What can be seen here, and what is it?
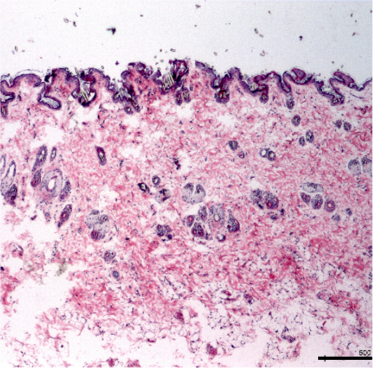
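This is a section of skin seen at low power, with a thin epidermis on top and a broad dermis below. The epidermis is a narrow purple band with an undulating, folded outline. Beneath it the dermis consists of pale pink, loosely arranged collagen fibres with open spaces between them. Numerous hair follicles and adnexal structures appear as rounded and elongated purple islands scattered through the mid and deep dermis. Dense clusters of small dark nuclei between the fibres are scarce.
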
